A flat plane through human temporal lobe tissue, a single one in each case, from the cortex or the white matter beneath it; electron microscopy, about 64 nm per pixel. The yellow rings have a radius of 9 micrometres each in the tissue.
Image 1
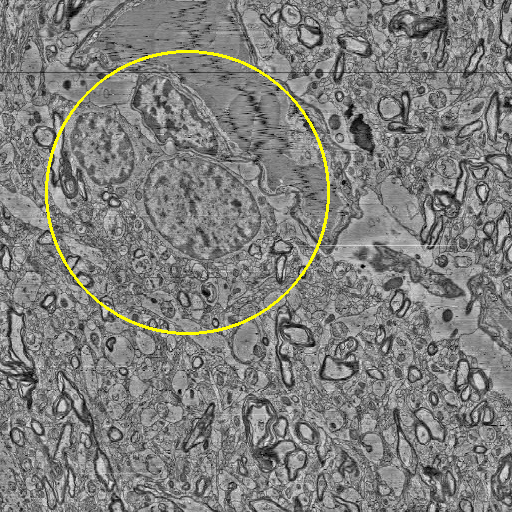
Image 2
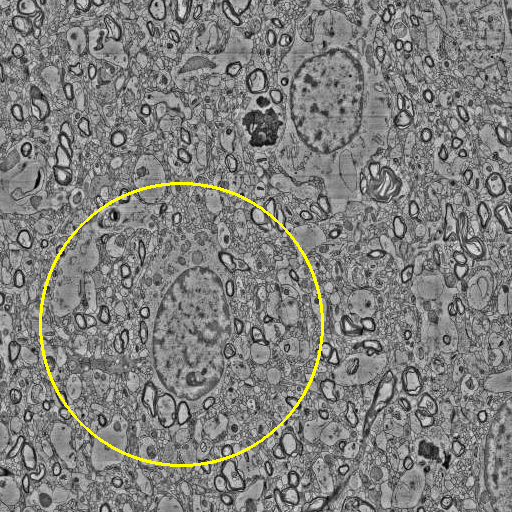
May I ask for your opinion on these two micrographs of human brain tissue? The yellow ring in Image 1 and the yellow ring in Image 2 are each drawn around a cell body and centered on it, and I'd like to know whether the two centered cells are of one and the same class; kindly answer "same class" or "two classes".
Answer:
same class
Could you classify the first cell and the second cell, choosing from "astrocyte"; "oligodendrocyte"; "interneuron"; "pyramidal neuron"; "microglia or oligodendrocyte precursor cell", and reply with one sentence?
The cell in the first picture is an oligodendrocyte, and so is the one in the second.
